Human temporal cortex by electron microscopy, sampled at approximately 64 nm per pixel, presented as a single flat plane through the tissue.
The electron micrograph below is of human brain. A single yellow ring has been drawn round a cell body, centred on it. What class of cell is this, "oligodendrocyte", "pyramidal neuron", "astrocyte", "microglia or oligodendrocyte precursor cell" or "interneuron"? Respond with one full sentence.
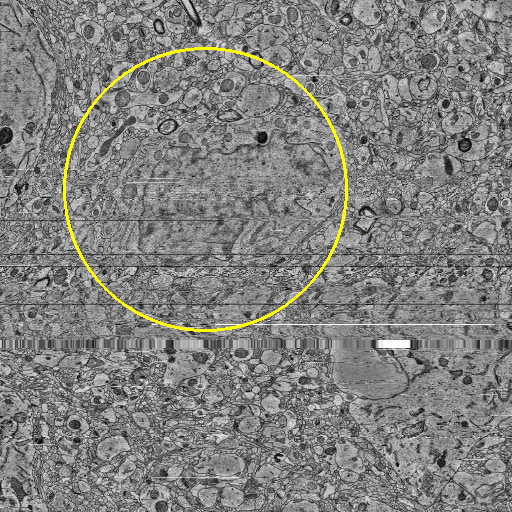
In the micrograph, the cell centred inside the yellow ring is an interneuron.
